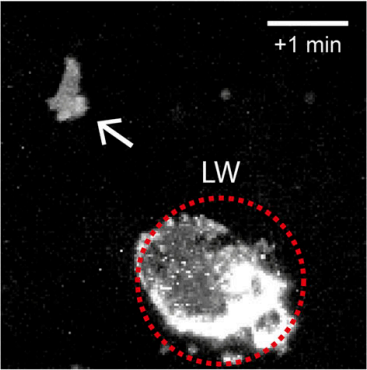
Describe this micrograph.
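The cell is elongated and irregular in shape, with an uneven outline. The wound below lies inside a red dotted circle as a large, bright, mottled area far bigger than the cell. A white arrow points to the cell from the side that faces the wound.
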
